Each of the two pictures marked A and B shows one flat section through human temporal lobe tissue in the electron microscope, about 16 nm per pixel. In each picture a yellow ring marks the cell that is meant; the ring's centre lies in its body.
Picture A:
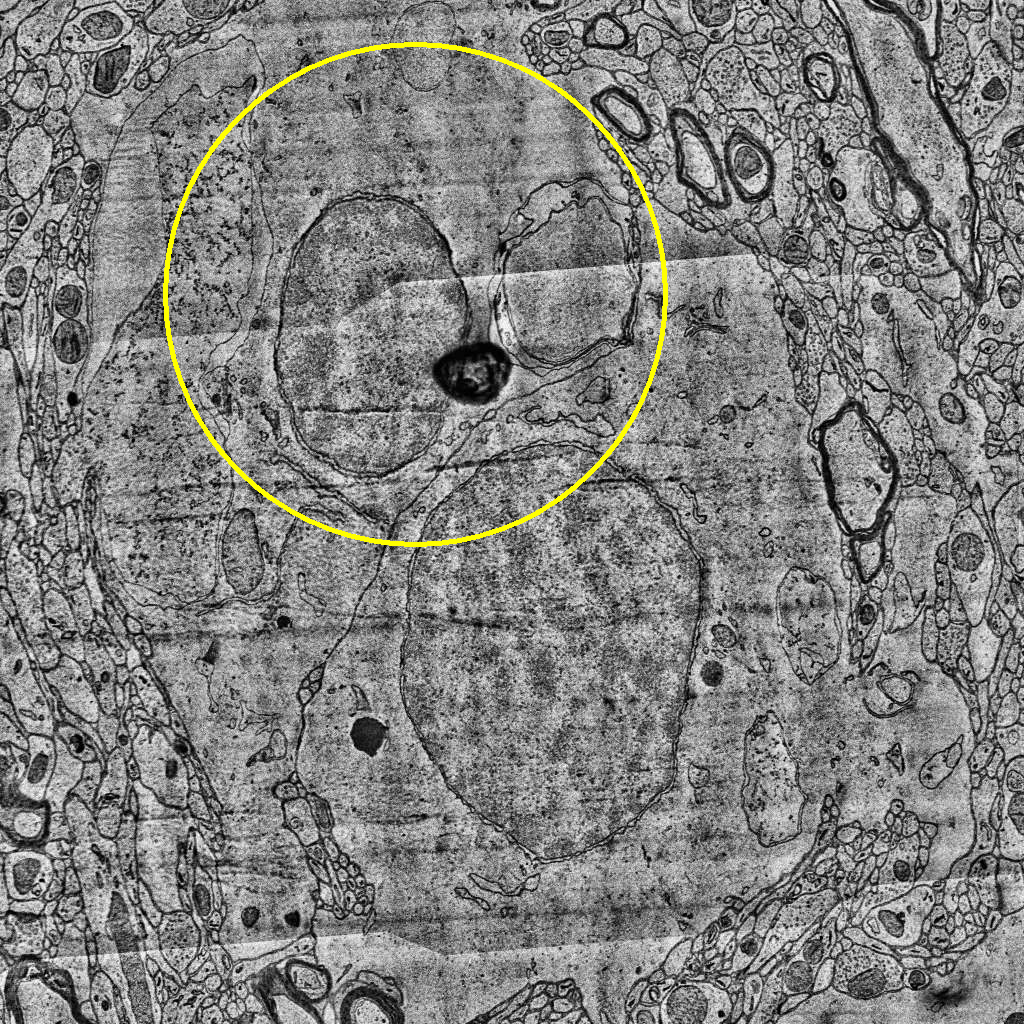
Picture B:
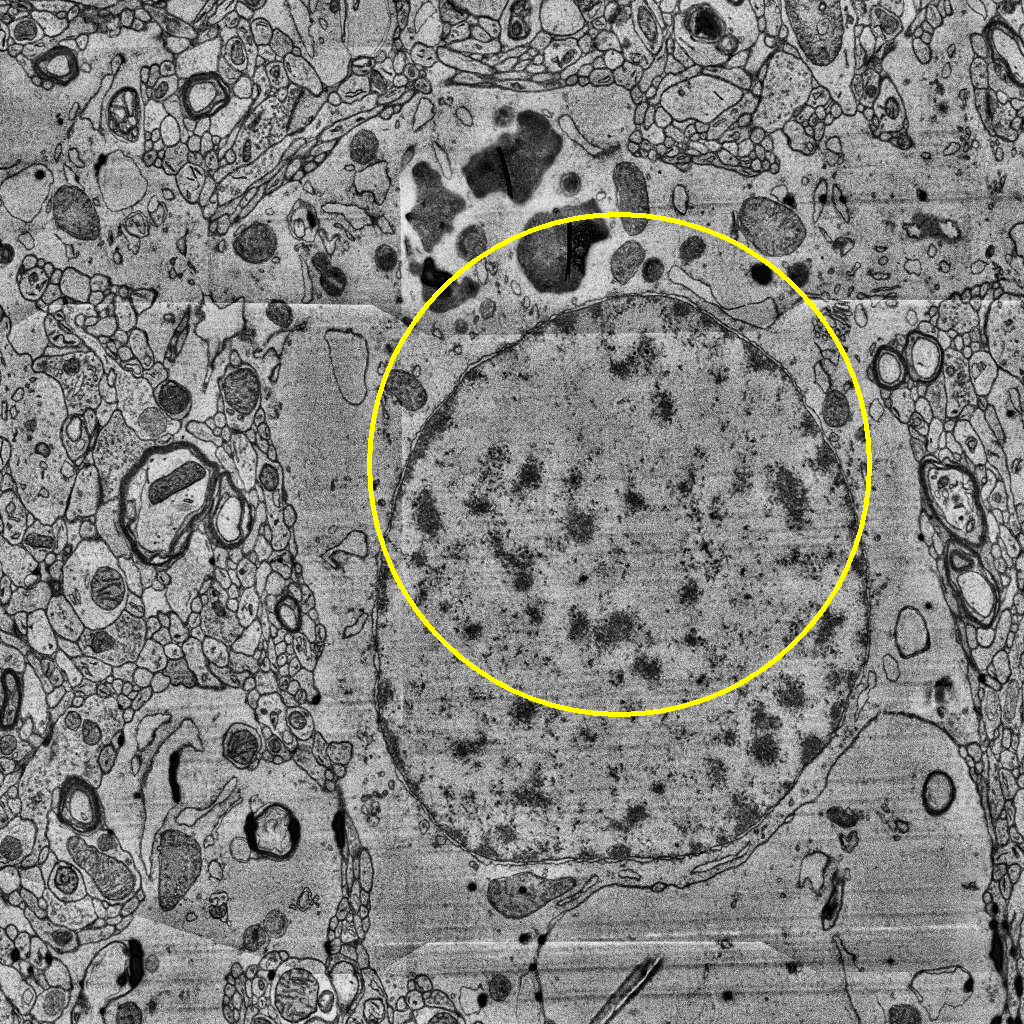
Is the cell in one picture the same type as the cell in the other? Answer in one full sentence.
Yes; the cells in both pictures are astrocytes.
